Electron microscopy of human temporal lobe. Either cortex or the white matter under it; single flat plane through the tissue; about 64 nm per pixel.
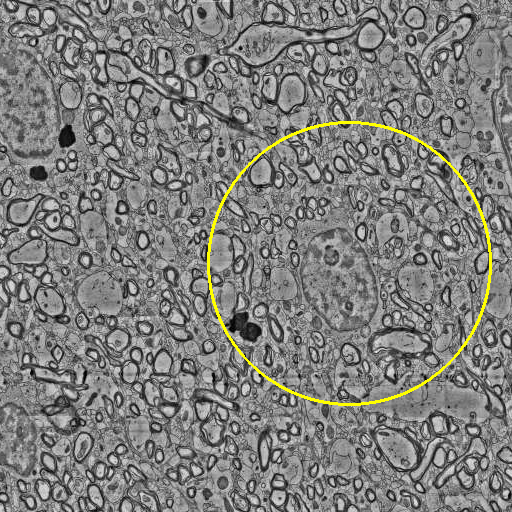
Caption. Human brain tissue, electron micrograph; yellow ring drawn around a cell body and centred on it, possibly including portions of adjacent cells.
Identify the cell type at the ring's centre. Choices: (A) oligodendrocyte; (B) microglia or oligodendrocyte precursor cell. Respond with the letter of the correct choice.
A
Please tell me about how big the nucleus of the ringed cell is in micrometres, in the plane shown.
The nucleus measures about 7 by 5 micrometres in this plane.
